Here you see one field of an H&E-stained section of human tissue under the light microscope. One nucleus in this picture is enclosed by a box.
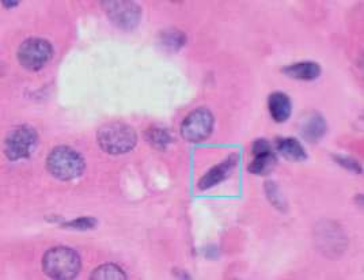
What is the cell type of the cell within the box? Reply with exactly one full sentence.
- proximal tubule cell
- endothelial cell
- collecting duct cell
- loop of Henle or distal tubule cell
In the tissue under study, the cell within the box is an endothelial cell.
